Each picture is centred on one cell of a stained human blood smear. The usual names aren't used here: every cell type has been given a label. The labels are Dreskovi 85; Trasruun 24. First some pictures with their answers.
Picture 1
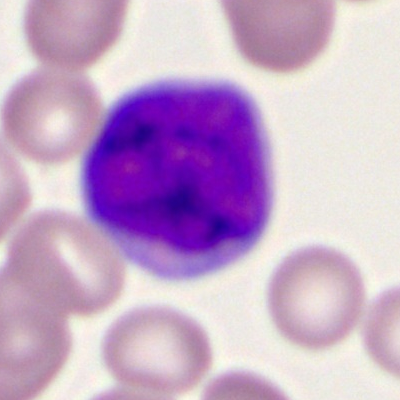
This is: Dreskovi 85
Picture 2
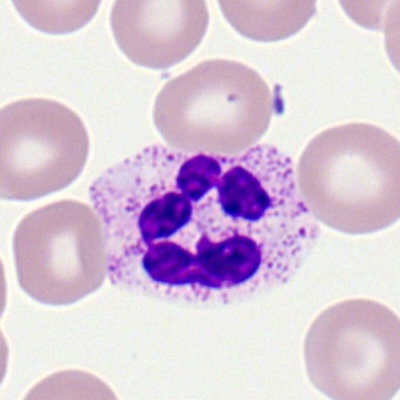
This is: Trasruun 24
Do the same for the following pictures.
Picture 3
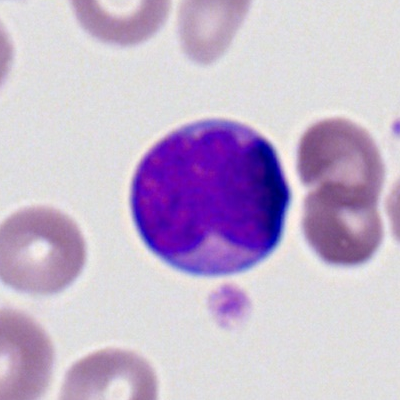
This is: Dreskovi 85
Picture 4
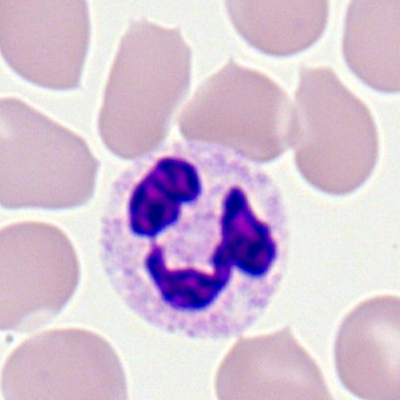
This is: Trasruun 24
